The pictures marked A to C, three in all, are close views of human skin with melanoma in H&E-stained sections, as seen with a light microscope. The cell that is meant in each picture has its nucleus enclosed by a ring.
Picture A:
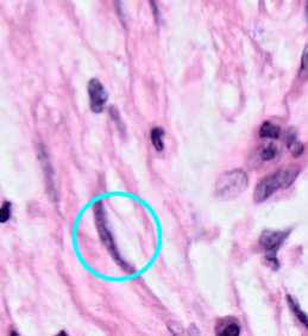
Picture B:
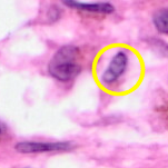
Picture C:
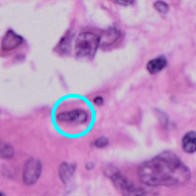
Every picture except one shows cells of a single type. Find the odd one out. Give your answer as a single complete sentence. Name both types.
Picture A is the odd one out: it shows a “fibroblast or myofibroblast”, while the others show “macrophages or monocytes”.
